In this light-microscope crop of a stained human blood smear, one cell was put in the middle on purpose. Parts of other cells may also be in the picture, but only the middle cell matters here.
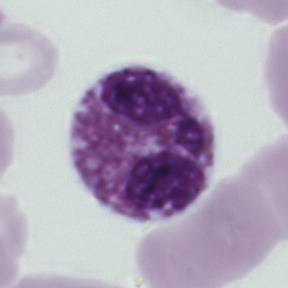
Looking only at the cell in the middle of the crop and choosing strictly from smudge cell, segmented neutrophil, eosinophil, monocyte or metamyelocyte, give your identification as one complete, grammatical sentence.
The cell marked by its central position in the crop is an eosinophil.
